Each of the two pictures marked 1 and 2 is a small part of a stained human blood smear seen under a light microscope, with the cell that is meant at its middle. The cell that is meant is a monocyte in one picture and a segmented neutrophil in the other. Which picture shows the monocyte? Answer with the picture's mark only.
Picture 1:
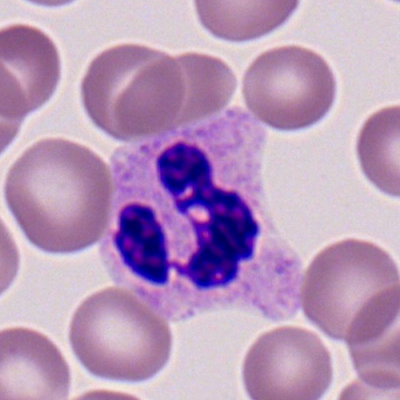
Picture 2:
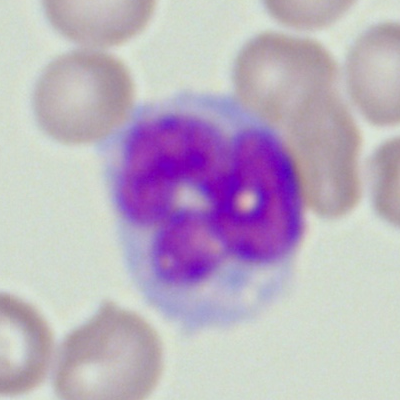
2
